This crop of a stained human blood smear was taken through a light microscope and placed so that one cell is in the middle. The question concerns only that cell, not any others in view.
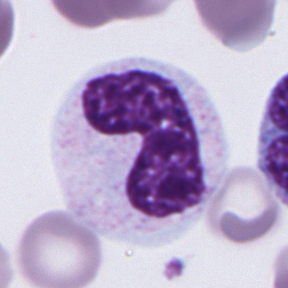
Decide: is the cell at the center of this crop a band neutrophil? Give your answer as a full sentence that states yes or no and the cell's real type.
Yes, the cell that is in the middle is a band neutrophil.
